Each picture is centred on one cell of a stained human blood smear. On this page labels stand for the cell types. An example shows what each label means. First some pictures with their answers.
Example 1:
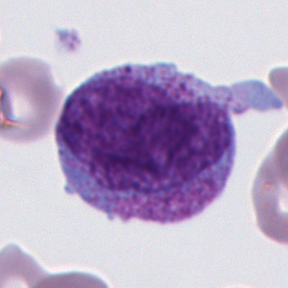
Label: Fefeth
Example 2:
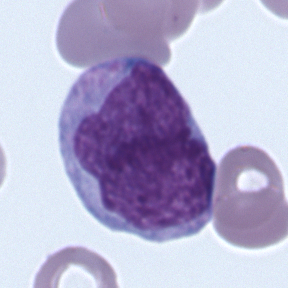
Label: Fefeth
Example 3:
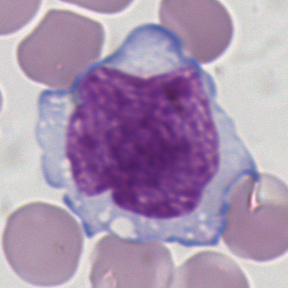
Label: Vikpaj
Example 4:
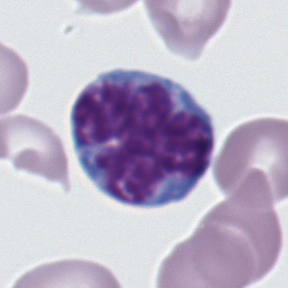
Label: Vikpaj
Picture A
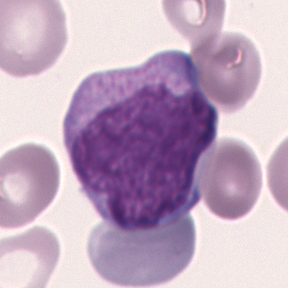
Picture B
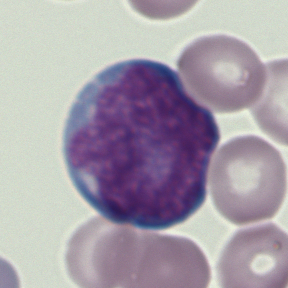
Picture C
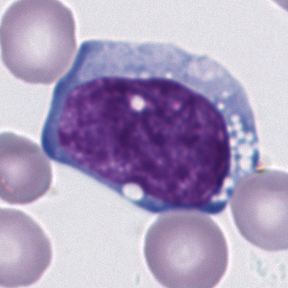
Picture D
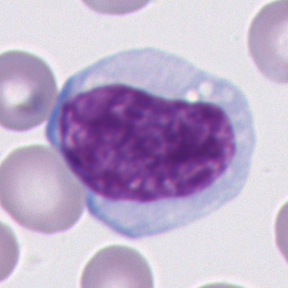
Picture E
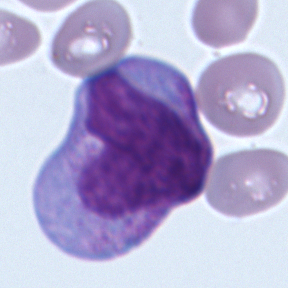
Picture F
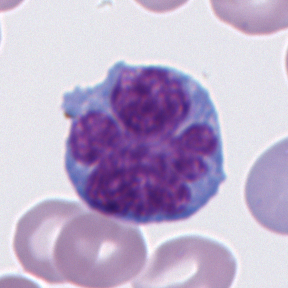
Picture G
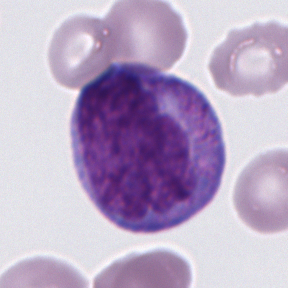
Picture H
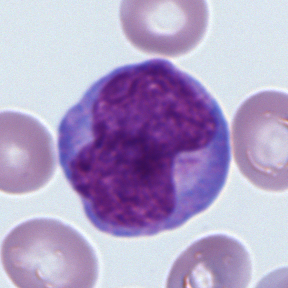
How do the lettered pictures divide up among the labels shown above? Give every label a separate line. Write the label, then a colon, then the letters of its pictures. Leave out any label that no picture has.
Fefeth: A, E, G, H
Vikpaj: B, C, D, F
